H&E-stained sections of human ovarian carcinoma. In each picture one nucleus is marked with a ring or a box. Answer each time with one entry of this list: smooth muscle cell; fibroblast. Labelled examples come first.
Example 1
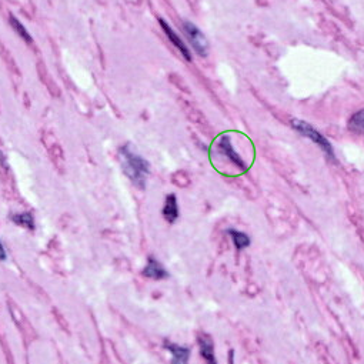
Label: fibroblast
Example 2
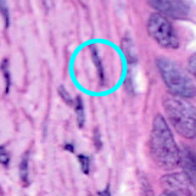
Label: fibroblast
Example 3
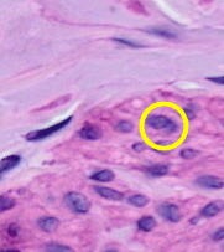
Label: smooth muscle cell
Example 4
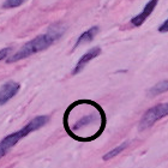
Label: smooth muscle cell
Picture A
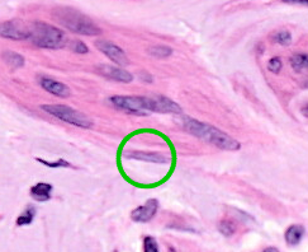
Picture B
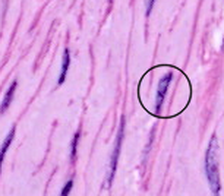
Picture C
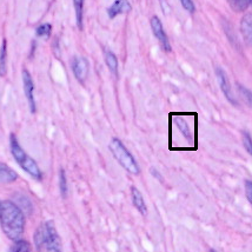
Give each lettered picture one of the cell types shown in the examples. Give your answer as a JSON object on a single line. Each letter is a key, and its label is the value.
{"A": "smooth muscle cell", "B": "fibroblast", "C": "fibroblast"}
